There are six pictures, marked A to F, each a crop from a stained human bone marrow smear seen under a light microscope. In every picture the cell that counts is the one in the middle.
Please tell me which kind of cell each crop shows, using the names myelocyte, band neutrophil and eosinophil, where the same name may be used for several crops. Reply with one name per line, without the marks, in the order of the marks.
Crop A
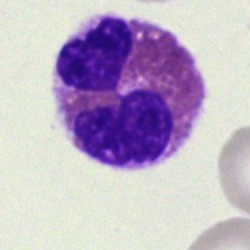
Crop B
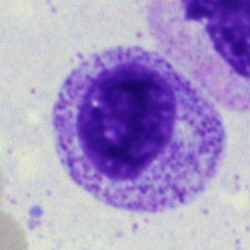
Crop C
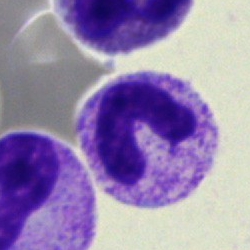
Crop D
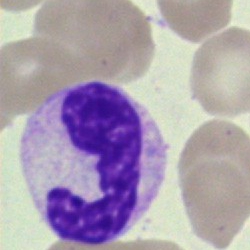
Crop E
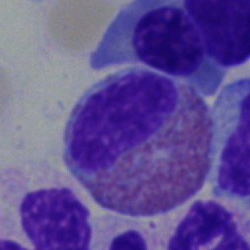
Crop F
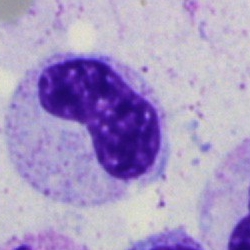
eosinophil
myelocyte
band neutrophil
band neutrophil
eosinophil
band neutrophil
